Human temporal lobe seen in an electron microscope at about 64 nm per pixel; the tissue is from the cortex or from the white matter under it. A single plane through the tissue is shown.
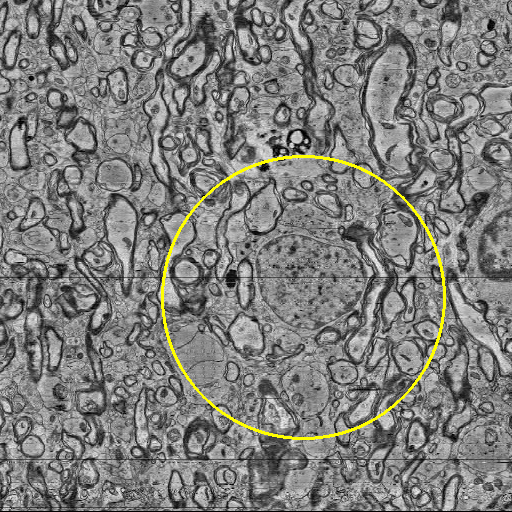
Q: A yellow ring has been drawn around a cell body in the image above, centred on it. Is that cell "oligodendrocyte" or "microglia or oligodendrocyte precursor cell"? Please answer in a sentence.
The ring surrounds the cell body of a microglial cell or oligodendrocyte precursor cell.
